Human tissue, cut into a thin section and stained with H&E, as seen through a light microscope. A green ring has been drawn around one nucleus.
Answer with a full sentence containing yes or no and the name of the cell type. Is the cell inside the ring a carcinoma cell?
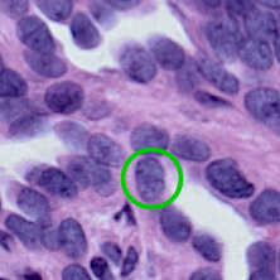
Yes, the cell inside the ring is recognized as a carcinoma cell in this section.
